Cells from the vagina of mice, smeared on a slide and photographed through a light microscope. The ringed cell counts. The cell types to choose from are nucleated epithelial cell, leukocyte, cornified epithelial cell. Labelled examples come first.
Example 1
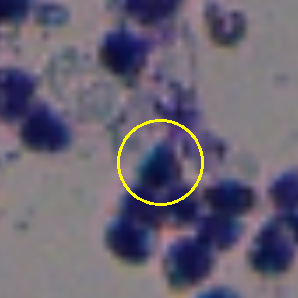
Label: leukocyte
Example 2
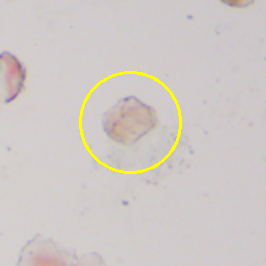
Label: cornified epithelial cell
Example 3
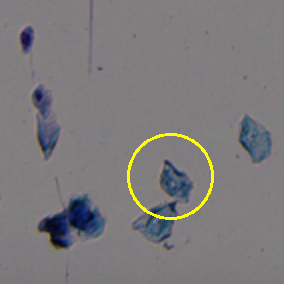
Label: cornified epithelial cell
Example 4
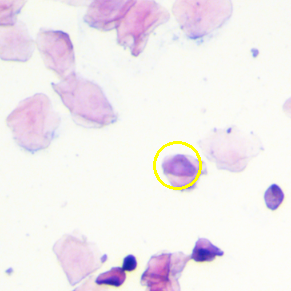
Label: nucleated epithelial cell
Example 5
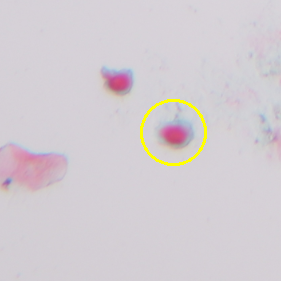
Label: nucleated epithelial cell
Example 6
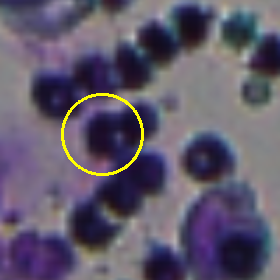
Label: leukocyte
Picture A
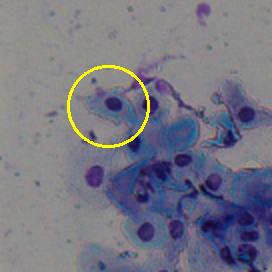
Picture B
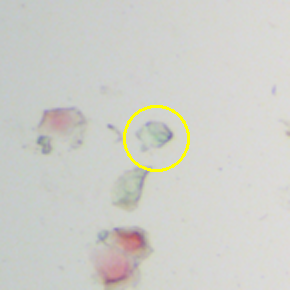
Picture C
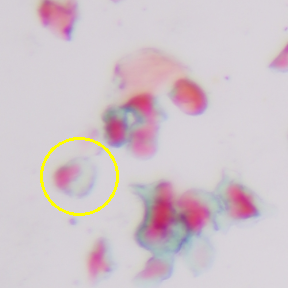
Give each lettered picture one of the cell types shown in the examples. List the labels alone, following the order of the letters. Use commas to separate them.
nucleated epithelial cell, cornified epithelial cell, nucleated epithelial cell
